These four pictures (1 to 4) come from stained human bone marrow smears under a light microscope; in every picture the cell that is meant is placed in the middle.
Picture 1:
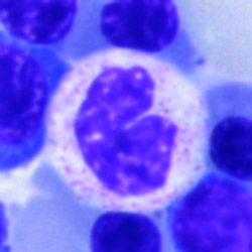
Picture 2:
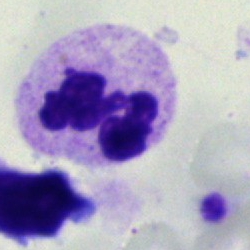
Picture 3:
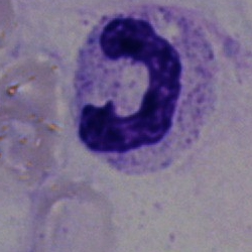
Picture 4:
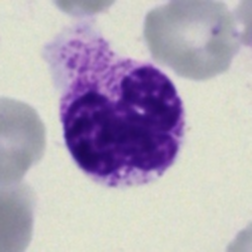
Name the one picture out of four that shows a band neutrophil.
1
